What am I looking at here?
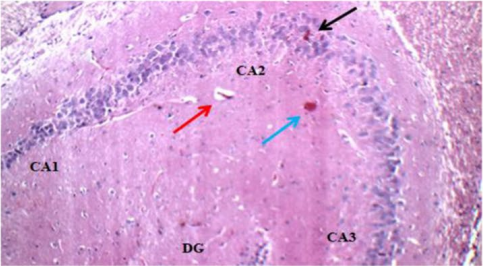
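Here the hippocampus shows an arched band of pyramidal neurons with purple nuclei curving across the upper part of the field and down both sides, surrounding pink neuropil. The neurons are mostly packed in a continuous row, though a few appear dark. Within the neuropil lie scattered small nuclei, a small clear elongated lumen of a blood vessel, and a dense, dark red round spot that stands out against the paler pink background.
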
